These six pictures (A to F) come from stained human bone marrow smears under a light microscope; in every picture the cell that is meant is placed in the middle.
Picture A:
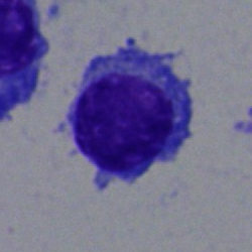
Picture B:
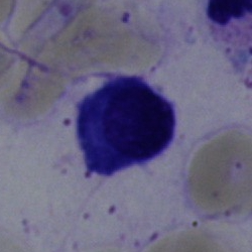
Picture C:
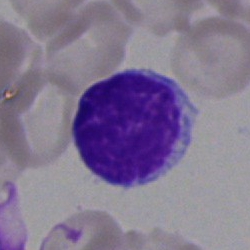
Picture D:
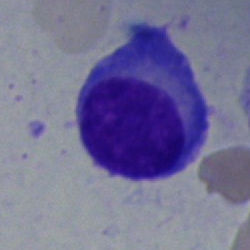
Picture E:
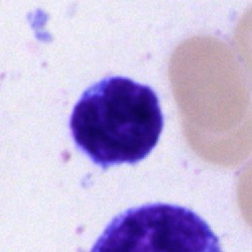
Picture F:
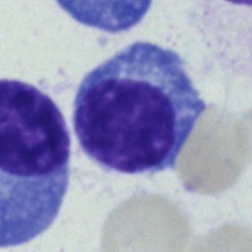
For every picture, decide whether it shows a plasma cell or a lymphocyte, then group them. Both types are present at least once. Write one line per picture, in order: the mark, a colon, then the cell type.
A: plasma cell
B: plasma cell
C: lymphocyte
D: plasma cell
E: lymphocyte
F: plasma cell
